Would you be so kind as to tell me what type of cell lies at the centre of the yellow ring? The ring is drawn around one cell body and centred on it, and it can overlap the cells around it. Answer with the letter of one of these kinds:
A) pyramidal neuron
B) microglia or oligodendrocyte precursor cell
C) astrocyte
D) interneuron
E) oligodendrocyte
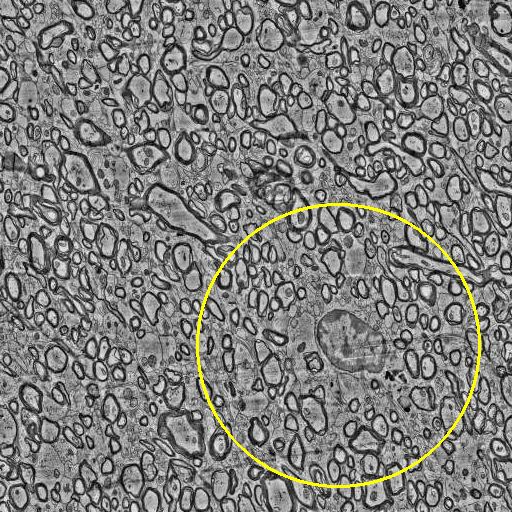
B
